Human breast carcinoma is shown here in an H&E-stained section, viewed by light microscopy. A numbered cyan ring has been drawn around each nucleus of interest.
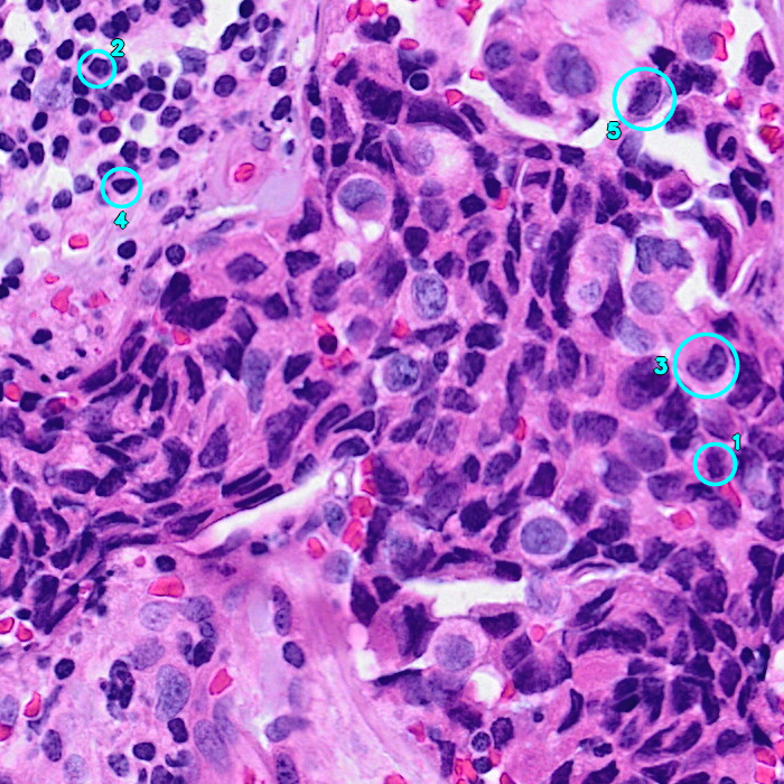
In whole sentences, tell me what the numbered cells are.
Cell 1 is a carcinoma cell, cell 2 is a lymphocyte, cell 3 is a carcinoma cell, cell 4 is a lymphocyte and cell 5 is a carcinoma cell.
